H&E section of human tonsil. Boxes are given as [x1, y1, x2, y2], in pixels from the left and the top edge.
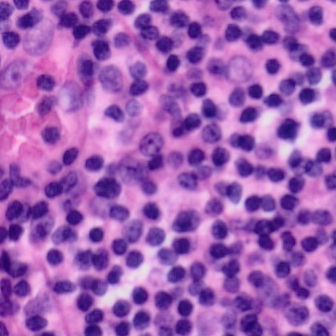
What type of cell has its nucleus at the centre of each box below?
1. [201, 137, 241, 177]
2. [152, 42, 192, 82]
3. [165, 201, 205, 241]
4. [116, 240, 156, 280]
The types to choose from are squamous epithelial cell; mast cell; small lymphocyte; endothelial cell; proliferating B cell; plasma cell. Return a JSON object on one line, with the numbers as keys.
{"1": "small lymphocyte", "2": "small lymphocyte", "3": "proliferating B cell", "4": "small lymphocyte"}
